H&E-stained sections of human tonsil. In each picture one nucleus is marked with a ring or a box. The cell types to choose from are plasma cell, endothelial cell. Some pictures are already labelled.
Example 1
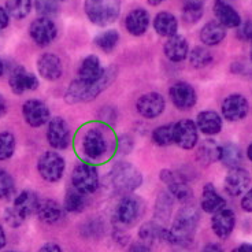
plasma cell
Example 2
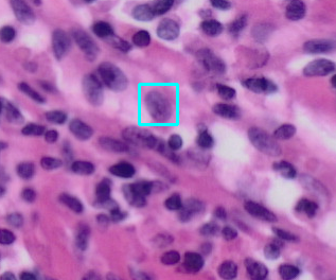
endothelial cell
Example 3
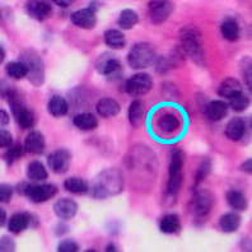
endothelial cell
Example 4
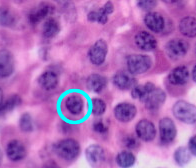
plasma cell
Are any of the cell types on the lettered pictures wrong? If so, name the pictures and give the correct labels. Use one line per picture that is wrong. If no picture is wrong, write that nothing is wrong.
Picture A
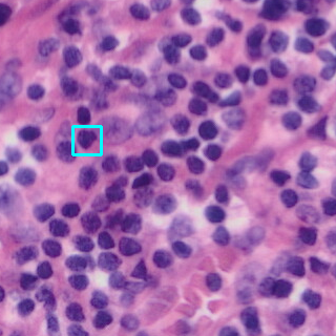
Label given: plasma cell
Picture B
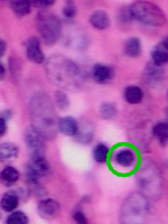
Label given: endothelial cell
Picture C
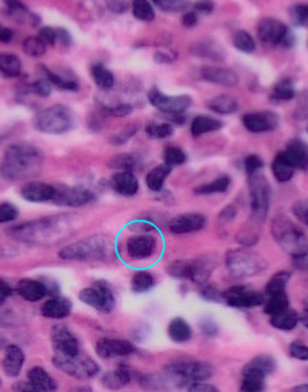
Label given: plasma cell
A: not plasma cell but endothelial cell
C: not plasma cell but endothelial cell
